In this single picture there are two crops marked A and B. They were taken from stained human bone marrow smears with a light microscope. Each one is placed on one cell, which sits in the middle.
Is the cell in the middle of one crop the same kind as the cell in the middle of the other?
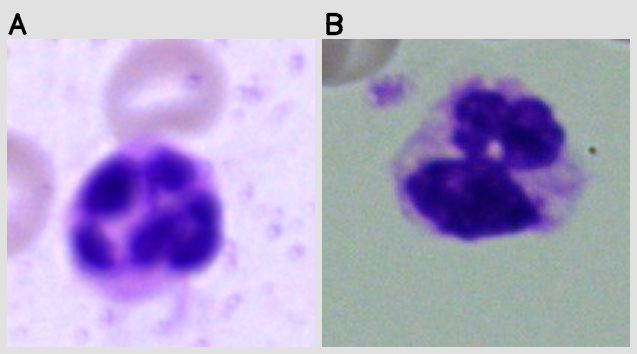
yes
